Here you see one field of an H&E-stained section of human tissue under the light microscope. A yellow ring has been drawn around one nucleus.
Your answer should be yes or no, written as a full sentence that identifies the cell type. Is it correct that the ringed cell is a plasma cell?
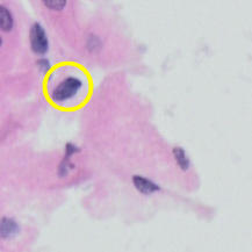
No, the ringed cell is put down as an endothelial cell, not as a plasma cell.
